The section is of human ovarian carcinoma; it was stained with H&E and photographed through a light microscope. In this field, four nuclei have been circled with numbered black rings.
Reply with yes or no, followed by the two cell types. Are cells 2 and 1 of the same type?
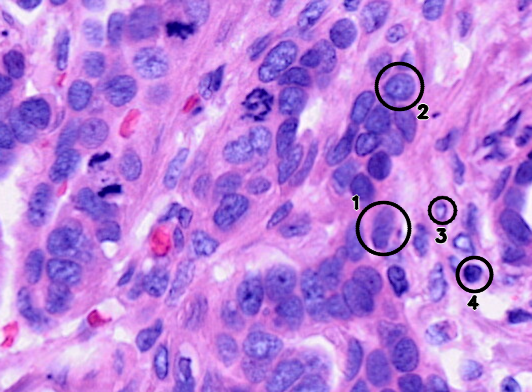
Yes, the cells numbered 2 and 1 are both carcinoma cells.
